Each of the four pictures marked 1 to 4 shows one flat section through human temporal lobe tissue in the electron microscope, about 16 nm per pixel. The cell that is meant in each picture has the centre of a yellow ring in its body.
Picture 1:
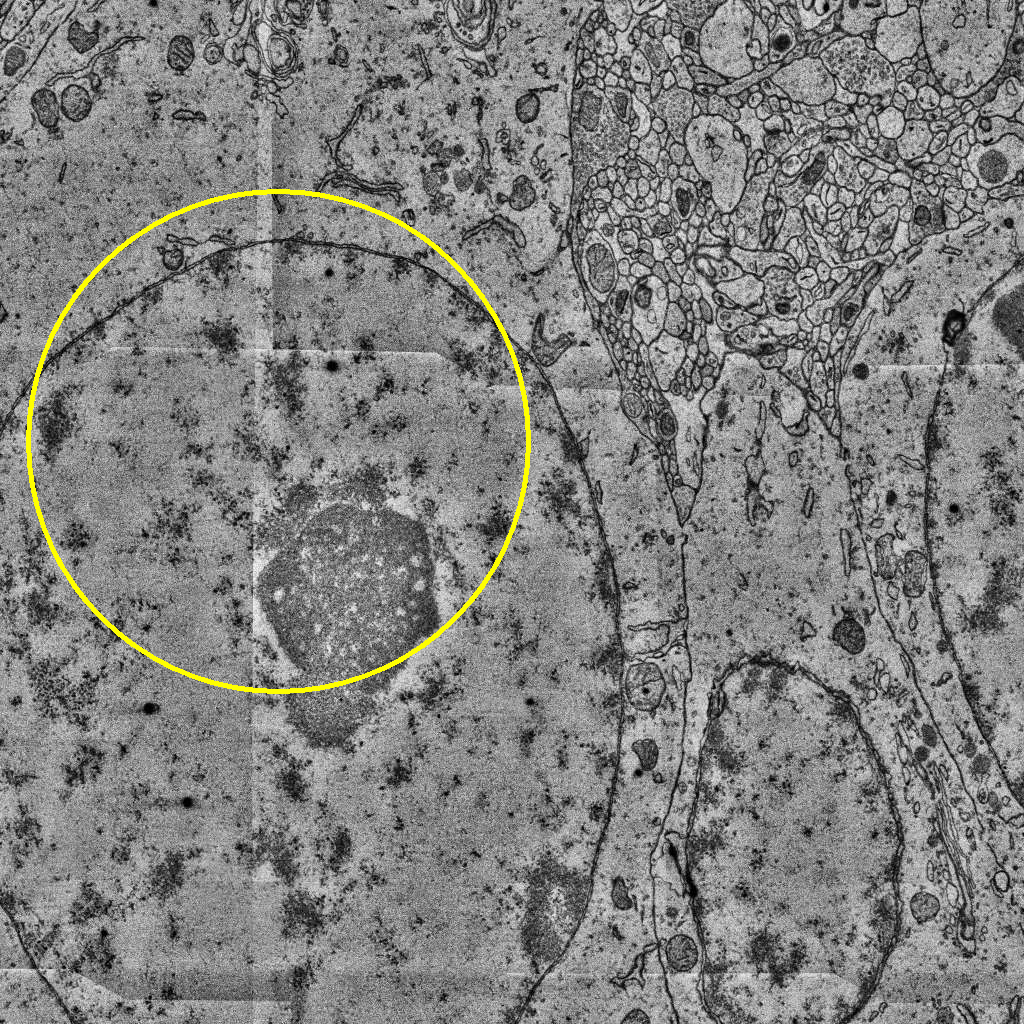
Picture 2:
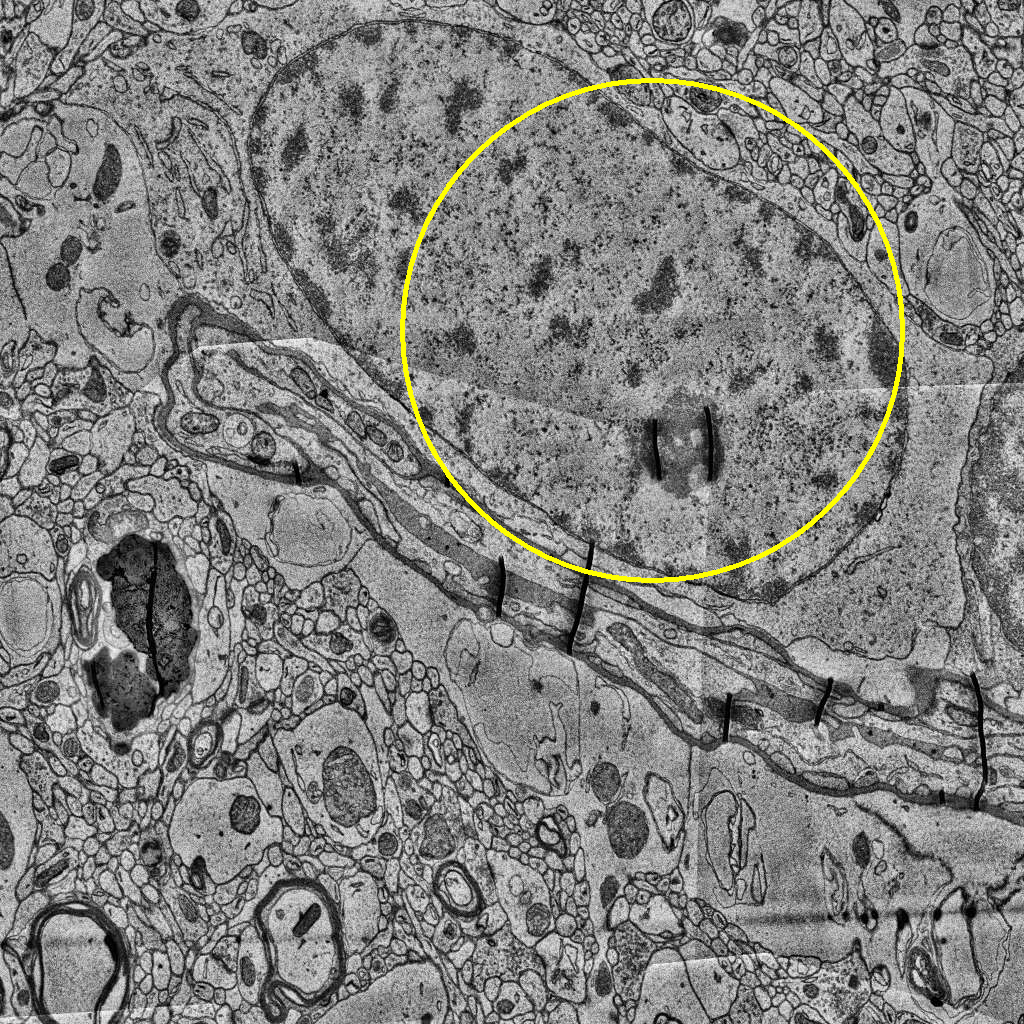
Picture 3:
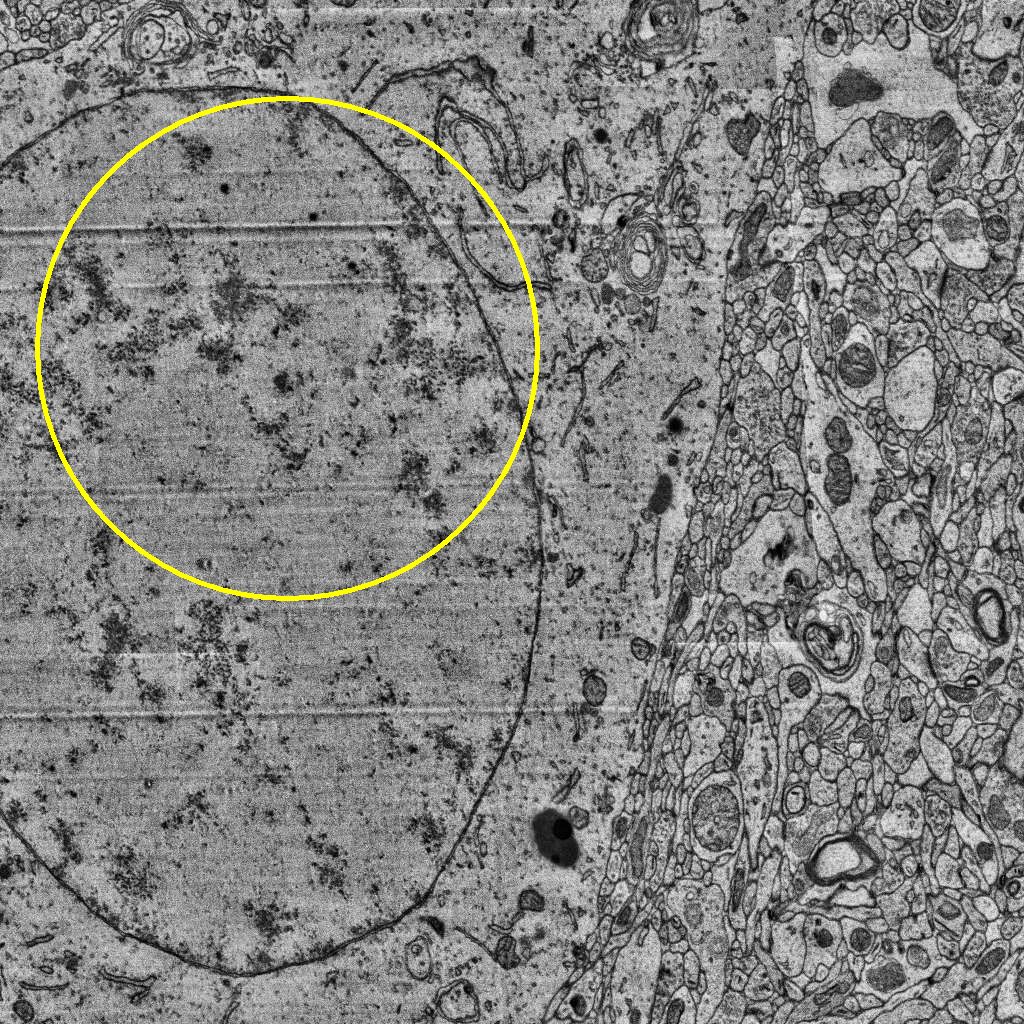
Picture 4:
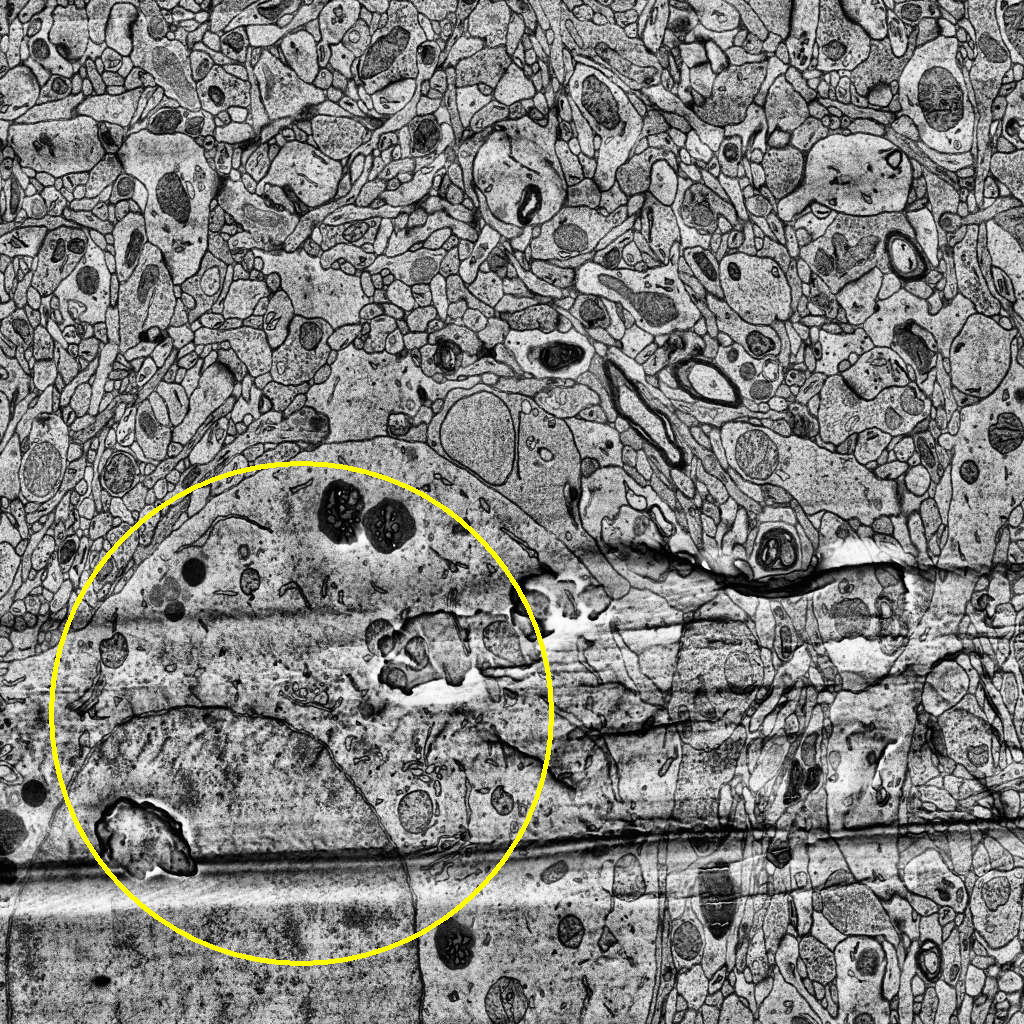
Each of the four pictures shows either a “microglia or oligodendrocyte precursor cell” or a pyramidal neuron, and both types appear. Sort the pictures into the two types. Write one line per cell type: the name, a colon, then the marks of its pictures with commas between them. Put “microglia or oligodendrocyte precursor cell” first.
microglia or oligodendrocyte precursor cell: 2
pyramidal neuron: 1, 3, 4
